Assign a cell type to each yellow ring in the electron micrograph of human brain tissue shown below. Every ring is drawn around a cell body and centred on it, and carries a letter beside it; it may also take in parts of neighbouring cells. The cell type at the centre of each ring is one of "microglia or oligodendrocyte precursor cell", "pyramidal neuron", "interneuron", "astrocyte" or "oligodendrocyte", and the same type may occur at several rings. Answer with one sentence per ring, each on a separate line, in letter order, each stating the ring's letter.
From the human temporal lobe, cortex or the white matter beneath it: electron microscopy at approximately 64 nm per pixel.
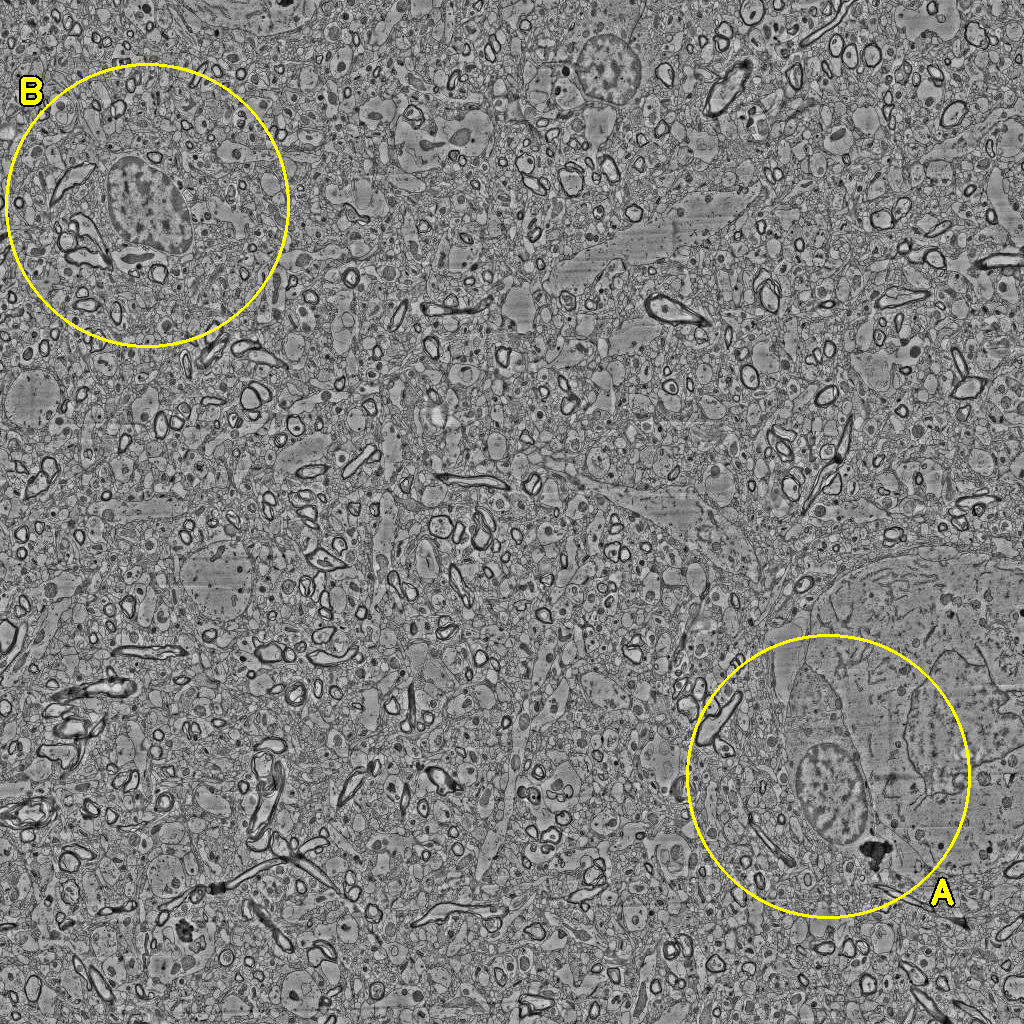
The cell at ring A's centre is an oligodendrocyte.
The cell at ring B's centre is a microglial cell or oligodendrocyte precursor cell.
